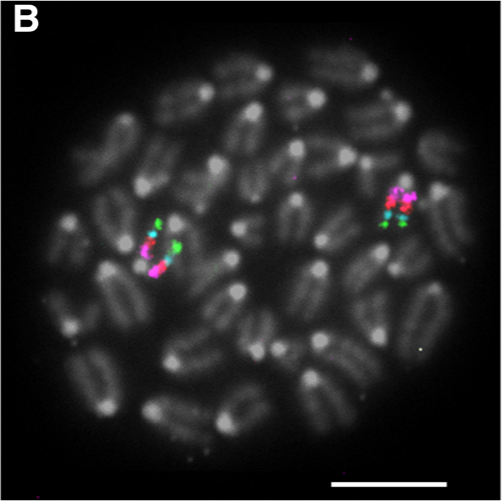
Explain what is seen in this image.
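Two chromosomes, lying on opposite sides of the spread, carry a sequence of coloured bands along their length, from magenta at one end through red and cyan to green at the other, marking the same chromosome pair. All other chromosomes remain grey and unlabelled.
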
